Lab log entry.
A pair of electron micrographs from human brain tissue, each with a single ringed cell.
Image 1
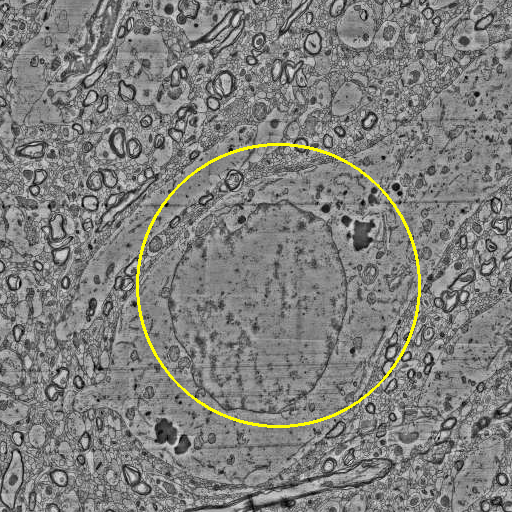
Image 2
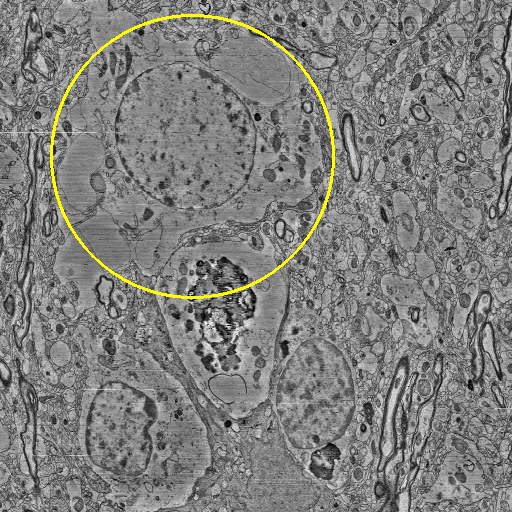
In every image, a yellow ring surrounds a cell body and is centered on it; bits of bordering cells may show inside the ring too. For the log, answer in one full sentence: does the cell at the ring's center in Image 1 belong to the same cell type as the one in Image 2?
No, the cells at the ring centers in Image 1 and Image 2 are of separate types.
